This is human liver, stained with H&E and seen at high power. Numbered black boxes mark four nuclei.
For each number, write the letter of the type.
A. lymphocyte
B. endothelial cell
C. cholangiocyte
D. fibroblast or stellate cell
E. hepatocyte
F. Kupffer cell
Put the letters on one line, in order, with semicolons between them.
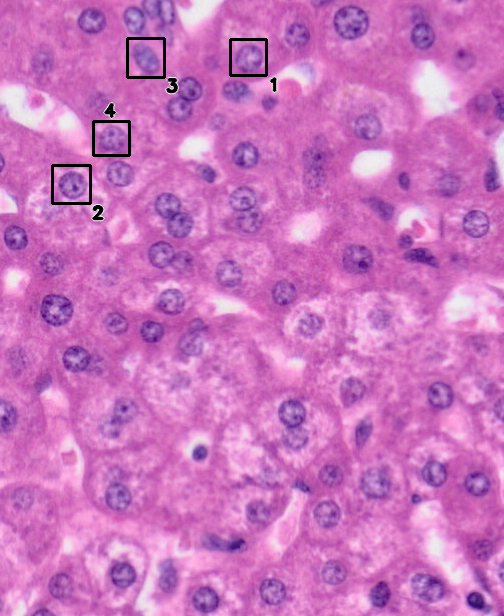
E; E; C; E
